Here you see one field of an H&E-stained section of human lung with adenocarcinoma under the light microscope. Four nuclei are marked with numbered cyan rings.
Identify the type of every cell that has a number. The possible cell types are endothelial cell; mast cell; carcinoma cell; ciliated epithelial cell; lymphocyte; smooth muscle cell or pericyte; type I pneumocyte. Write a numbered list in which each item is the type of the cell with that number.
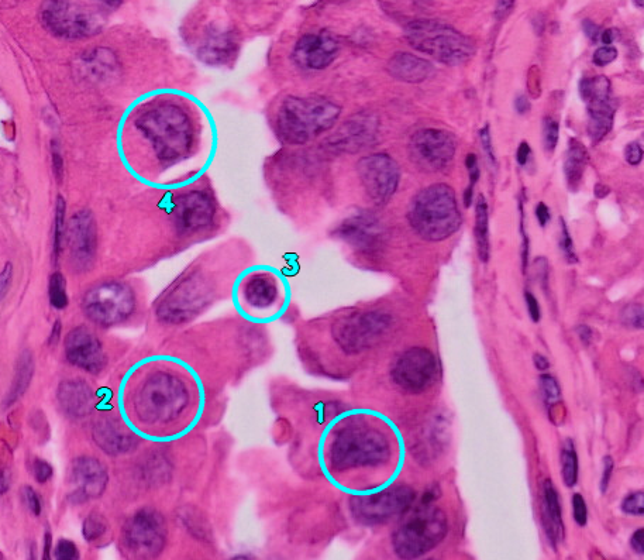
1. carcinoma cell
2. carcinoma cell
3. lymphocyte
4. carcinoma cell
